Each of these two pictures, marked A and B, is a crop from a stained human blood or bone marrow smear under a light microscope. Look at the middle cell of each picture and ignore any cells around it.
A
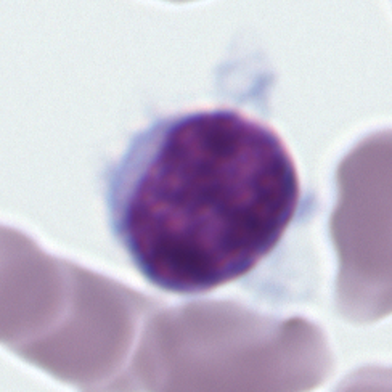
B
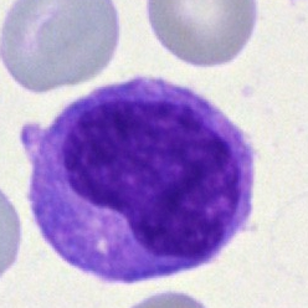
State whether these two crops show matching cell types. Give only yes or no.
no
